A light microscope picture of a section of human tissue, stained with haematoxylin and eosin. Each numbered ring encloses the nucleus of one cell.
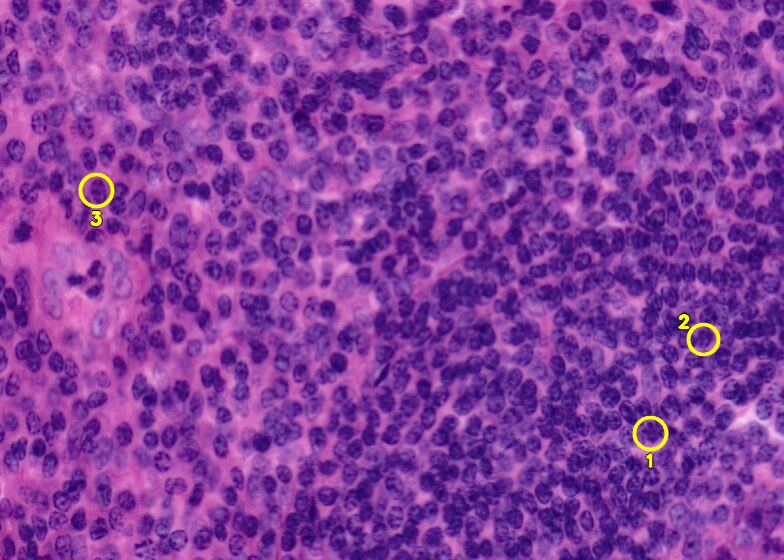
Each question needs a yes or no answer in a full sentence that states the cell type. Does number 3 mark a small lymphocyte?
No, cell 3 is a plasma cell, not a small lymphocyte.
